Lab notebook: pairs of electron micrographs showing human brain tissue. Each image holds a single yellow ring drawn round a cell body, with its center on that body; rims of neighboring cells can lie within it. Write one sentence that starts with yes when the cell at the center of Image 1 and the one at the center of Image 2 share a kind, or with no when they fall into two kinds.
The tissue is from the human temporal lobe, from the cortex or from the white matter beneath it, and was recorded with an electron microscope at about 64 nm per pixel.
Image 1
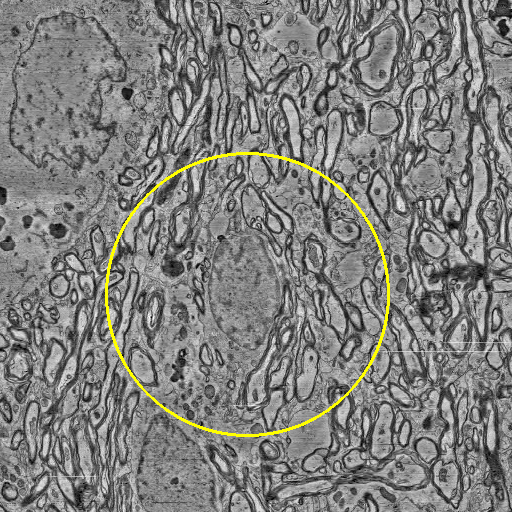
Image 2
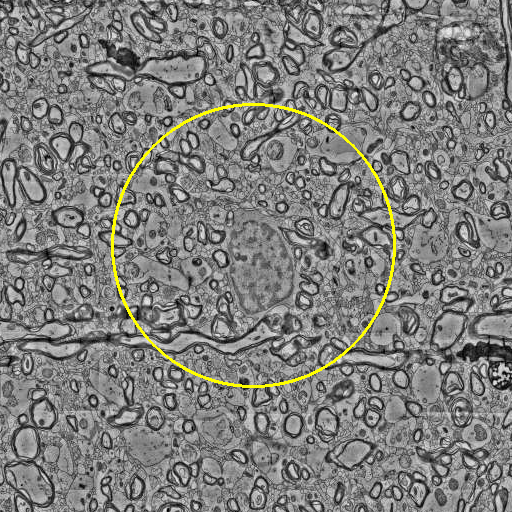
Yes, the centered cell in Image 1 and the centered cell in Image 2 are of one kind.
